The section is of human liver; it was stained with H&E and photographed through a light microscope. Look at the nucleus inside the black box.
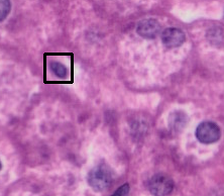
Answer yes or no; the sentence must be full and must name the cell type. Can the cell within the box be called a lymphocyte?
Yes, the cell within the box is identified as a lymphocyte in this section.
